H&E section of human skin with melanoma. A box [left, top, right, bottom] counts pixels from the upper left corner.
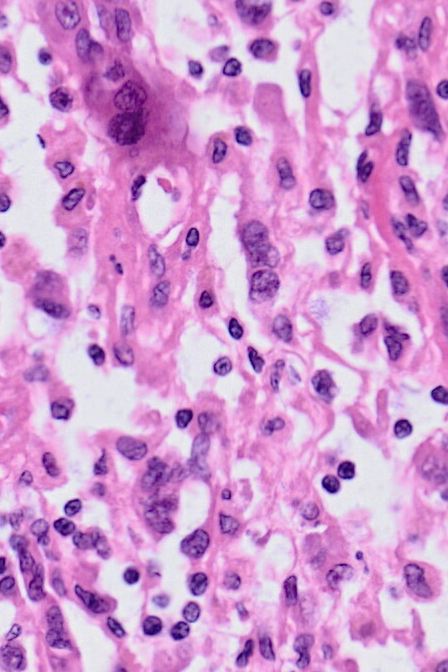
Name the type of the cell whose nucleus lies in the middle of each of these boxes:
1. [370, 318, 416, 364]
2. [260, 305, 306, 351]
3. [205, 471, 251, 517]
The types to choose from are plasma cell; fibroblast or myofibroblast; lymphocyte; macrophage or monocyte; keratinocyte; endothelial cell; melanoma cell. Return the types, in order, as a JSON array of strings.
["melanoma cell", "macrophage or monocyte", "macrophage or monocyte"]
